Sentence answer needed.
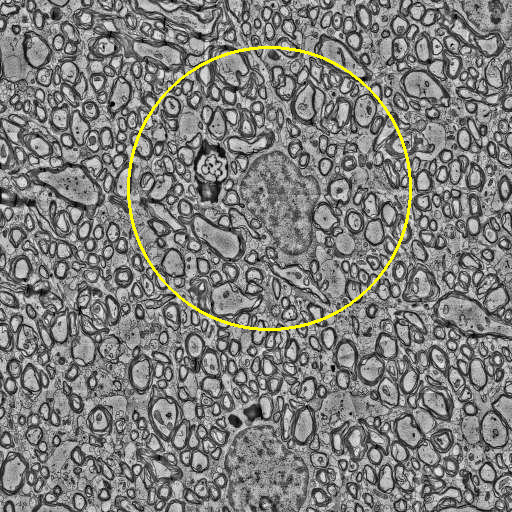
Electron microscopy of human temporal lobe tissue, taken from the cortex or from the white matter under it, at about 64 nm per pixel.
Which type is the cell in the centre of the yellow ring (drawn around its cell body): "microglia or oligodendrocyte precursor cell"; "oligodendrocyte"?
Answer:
In the centre of the yellow ring is an oligodendrocyte.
